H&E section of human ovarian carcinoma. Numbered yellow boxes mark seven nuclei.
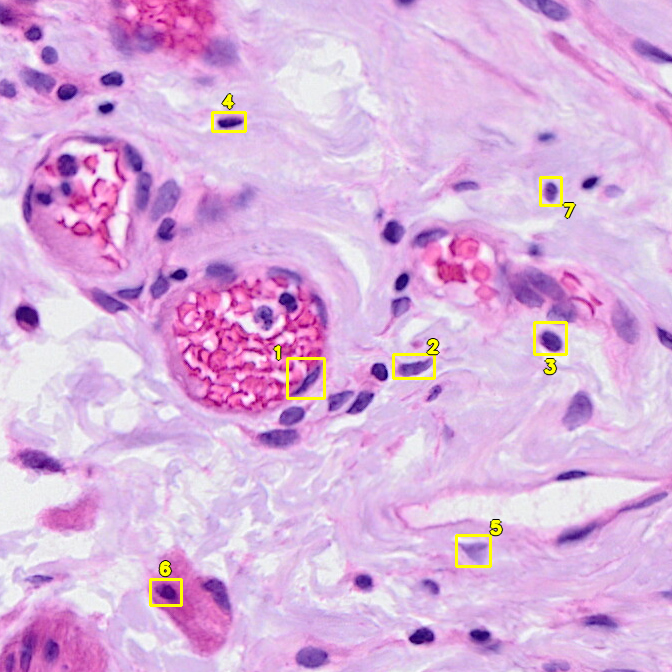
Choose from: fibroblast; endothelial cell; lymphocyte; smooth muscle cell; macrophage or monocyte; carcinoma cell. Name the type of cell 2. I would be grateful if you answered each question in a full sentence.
Belonging to a fibroblast is the nucleus that carries the number 2.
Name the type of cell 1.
The cell numbered 1 represents an endothelial cell.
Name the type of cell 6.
The nucleus marked 6 is the nucleus of a smooth muscle cell.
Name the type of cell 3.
The cell identified by number 3 is a lymphocyte.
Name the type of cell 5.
The cell pointed out as number 5 is a fibroblast.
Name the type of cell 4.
The numbered cell 4 is identified here as a lymphocyte.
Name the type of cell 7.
The cell identified by number 7 is a lymphocyte.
